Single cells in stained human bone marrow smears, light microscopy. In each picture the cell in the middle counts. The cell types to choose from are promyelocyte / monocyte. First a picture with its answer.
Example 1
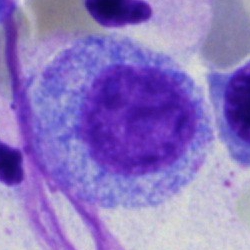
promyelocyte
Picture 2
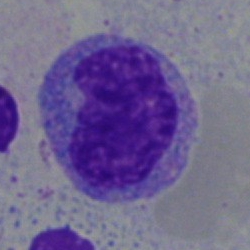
monocyte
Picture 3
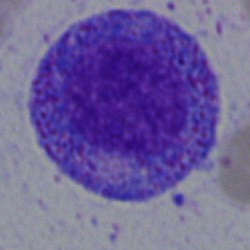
promyelocyte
